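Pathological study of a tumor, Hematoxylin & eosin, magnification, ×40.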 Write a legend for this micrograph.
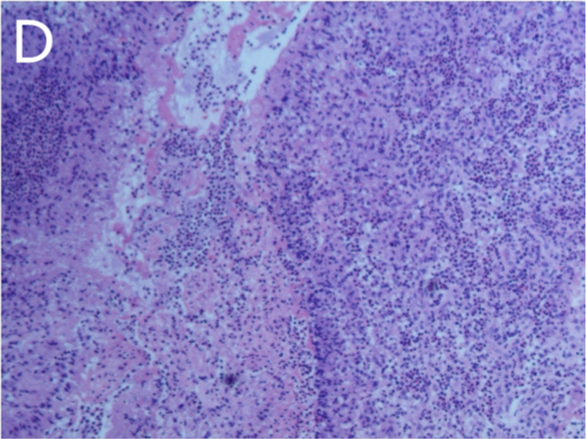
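A section stained pink and purple is densely packed with small cells that have dark, round, purple nuclei and scant cytoplasm. These inflammatory cells lie scattered in sheets over most of the field. Among them, the background is pale pink, loose and somewhat fibrillar. A wider strip of paler pink, wispy, less cellular material runs diagonally from the upper middle toward the lower left and divides the dense cellular areas. No orderly layers or normal tissue architecture are seen.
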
